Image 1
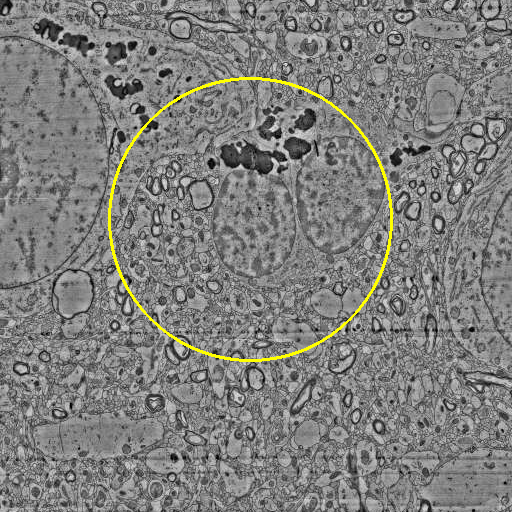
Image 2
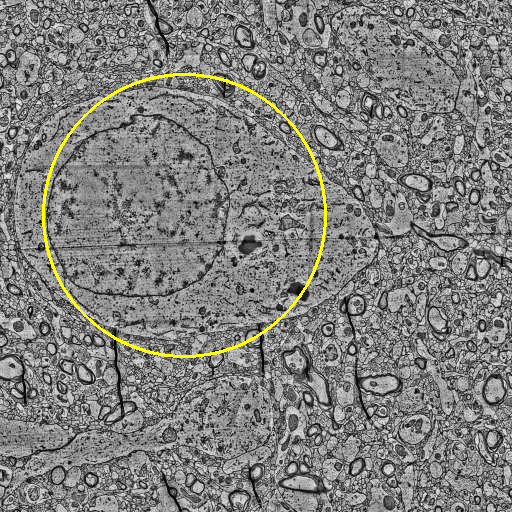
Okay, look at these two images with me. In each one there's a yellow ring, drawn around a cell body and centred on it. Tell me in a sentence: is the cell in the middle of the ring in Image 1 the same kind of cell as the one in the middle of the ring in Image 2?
No, they're two kinds of cell.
